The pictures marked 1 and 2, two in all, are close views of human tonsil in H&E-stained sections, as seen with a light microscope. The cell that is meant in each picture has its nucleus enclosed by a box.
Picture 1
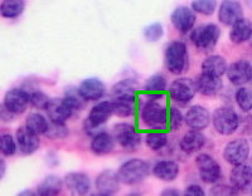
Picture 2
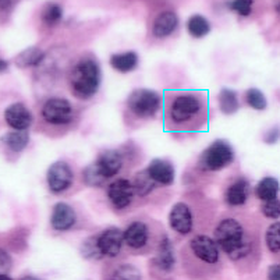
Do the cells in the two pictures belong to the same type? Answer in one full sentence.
No, picture 1 shows a small lymphocyte and picture 2 shows a plasma cell.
